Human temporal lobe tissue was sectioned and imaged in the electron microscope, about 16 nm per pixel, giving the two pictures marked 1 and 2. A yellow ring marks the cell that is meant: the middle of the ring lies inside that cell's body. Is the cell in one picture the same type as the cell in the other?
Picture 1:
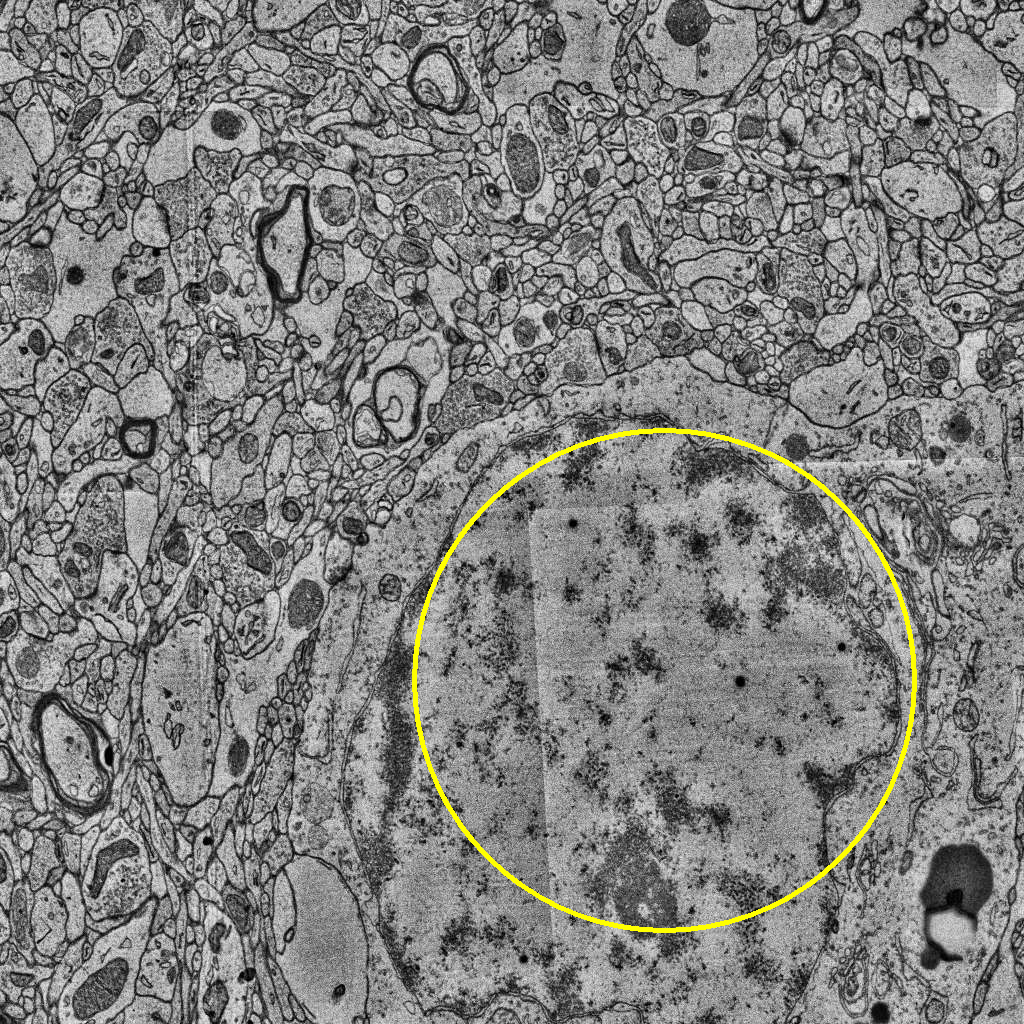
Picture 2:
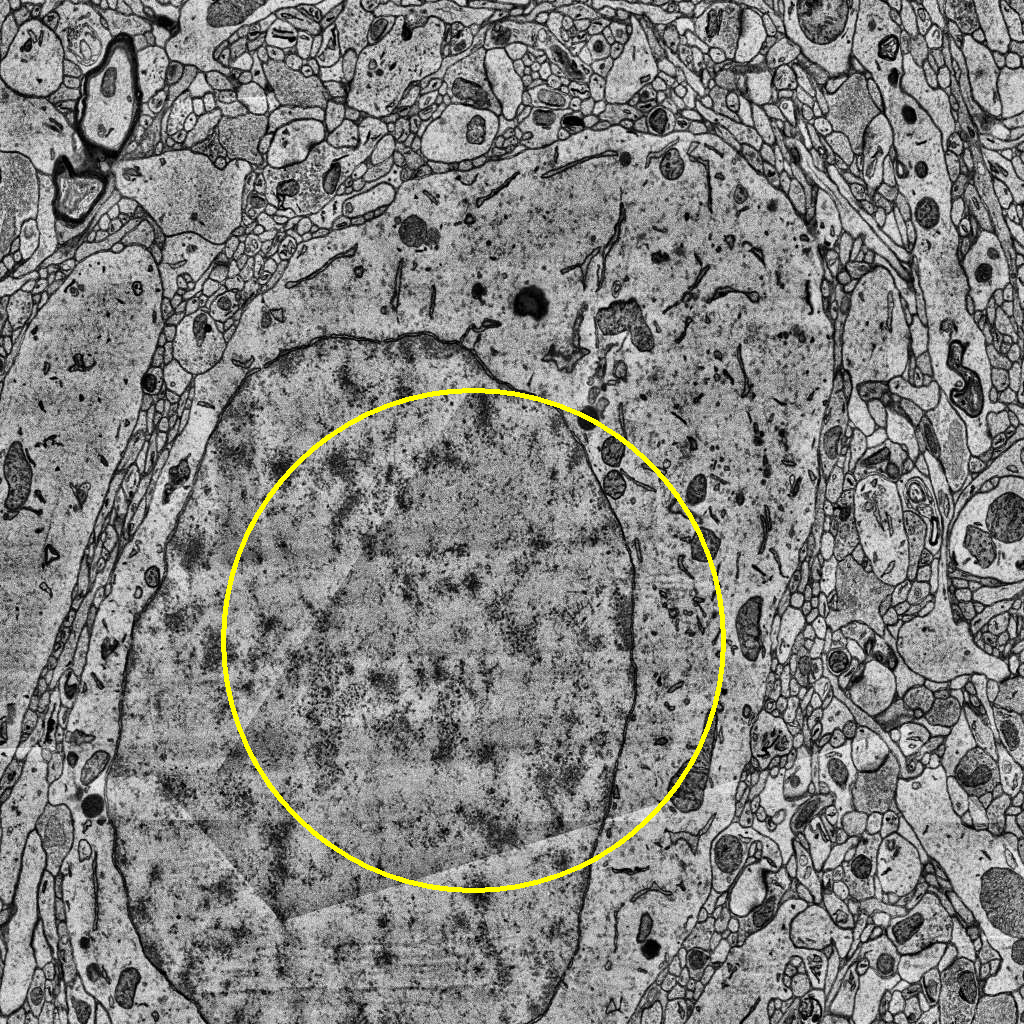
No, the types are not the same, since picture 1 shows an interneuron and picture 2 a pyramidal neuron.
